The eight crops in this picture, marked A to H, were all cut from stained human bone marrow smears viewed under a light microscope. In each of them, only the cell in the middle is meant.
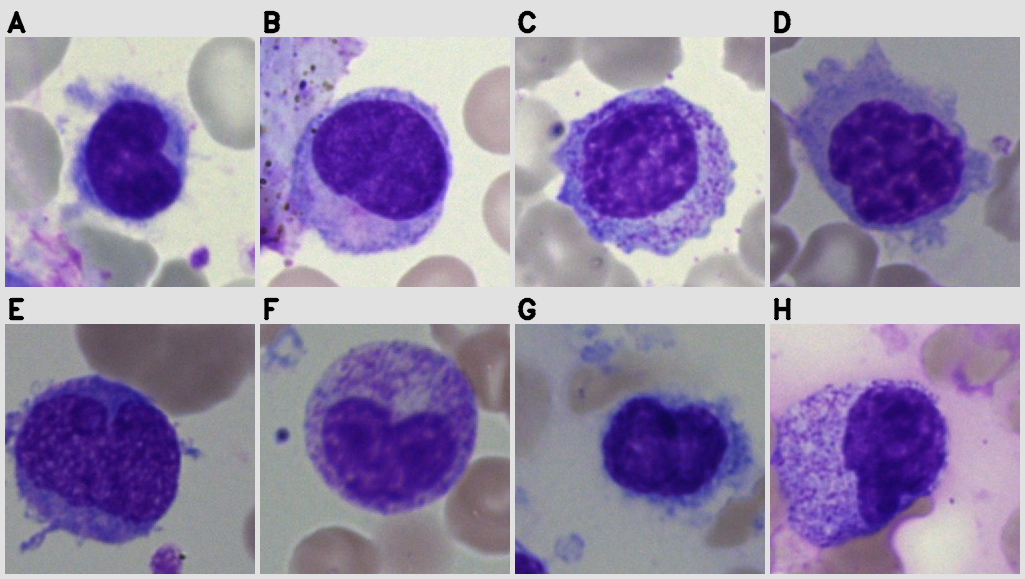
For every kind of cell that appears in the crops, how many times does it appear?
hairy cell: 4
metamyelocyte: 2
myelocyte: 1
blast: 1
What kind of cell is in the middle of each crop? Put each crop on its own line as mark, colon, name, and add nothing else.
A: hairy cell
B: hairy cell
C: myelocyte
D: hairy cell
E: blast
F: metamyelocyte
G: hairy cell
H: metamyelocyte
